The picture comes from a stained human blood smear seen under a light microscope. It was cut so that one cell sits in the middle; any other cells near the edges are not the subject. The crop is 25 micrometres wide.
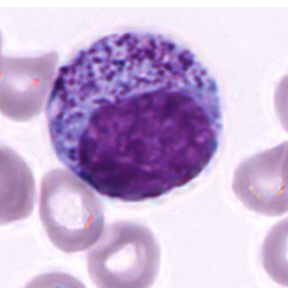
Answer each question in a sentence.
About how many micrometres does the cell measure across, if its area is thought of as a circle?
About 15 micrometres: that is the cell's diameter.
